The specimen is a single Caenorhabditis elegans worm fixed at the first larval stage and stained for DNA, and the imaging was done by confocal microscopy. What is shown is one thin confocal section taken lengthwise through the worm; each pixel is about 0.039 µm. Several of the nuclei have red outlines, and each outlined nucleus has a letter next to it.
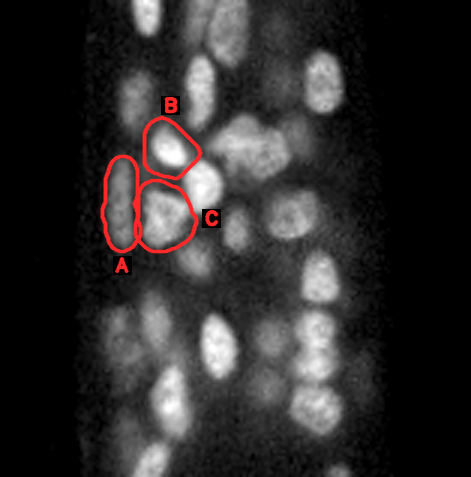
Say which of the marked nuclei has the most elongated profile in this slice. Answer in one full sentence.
A is the most elongated in this section.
